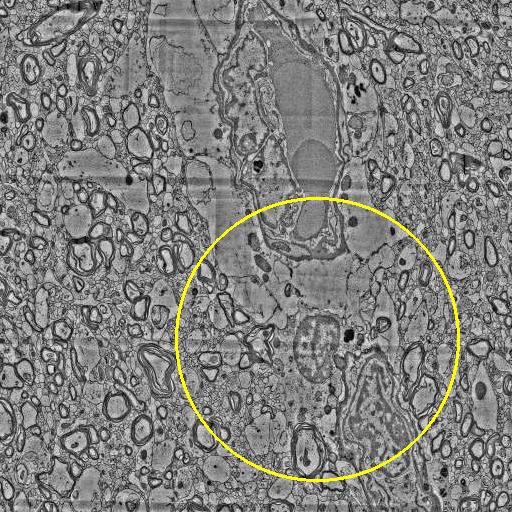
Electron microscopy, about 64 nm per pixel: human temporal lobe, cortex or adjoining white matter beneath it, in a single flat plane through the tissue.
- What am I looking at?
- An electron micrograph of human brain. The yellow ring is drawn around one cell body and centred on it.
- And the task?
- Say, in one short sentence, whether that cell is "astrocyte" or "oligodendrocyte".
The cell in the middle of the ring is an oligodendrocyte.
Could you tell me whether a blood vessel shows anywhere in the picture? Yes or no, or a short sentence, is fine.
Yes, there is a blood vessel in the image.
